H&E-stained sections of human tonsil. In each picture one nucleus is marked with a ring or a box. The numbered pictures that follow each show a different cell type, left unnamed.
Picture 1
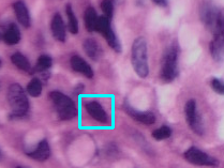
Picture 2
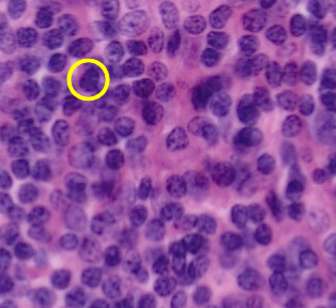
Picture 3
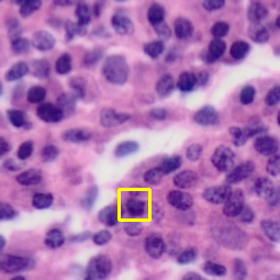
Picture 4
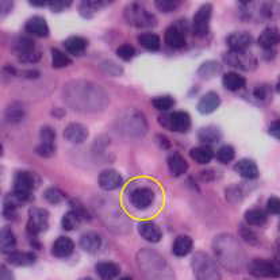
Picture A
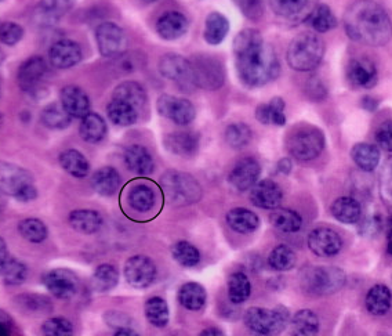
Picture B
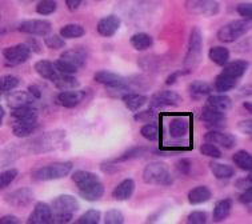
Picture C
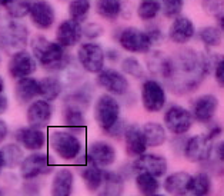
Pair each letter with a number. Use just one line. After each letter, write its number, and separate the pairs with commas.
A 3, B 2, C 2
